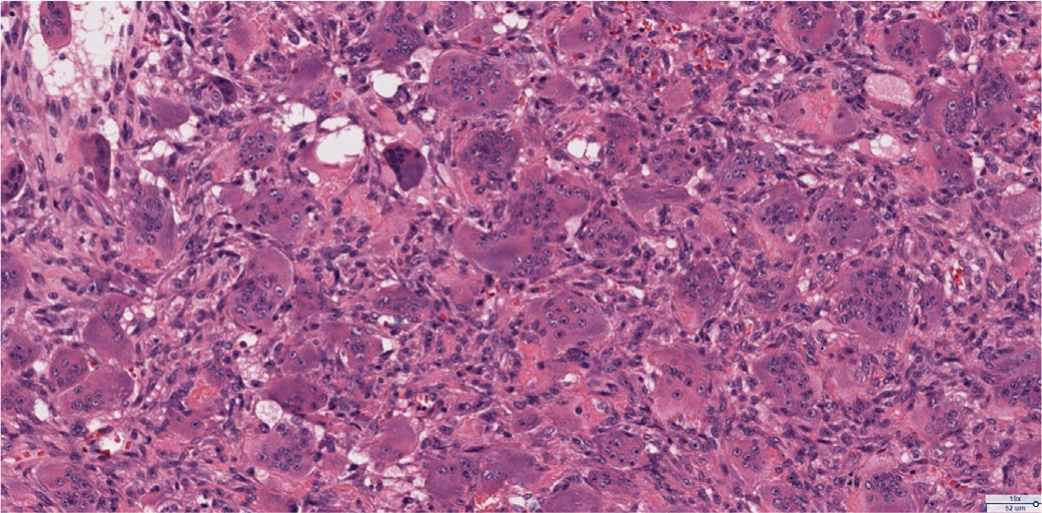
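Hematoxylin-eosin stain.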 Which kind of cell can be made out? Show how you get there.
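Many large cells with pink cytoplasm are scattered evenly through the field. Smaller single-nucleus cells fill the spaces between the large cells. That points to this answer: multinucleated giant cells.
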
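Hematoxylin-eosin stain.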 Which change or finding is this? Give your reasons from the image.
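Giant cell-rich neoplasm. Large multinucleated cells are densely and evenly spread across the whole field. The background is a cellular sheet of plump spindle to oval mononuclear cells. Small pools of red blood cells lie among the cells.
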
